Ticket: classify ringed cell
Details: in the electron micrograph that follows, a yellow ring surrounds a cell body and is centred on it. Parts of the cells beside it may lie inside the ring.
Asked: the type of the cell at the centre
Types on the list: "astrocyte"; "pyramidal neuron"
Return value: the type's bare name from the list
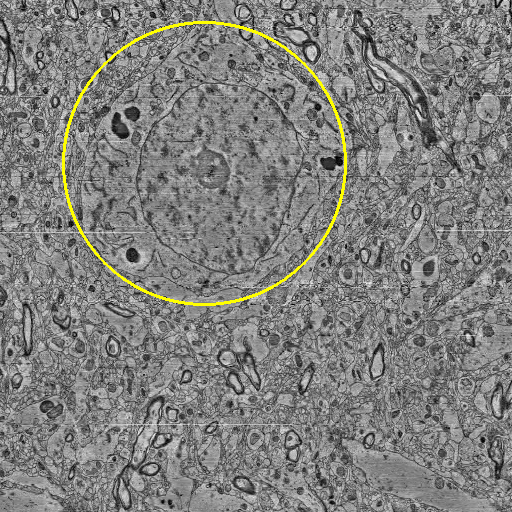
pyramidal neuron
